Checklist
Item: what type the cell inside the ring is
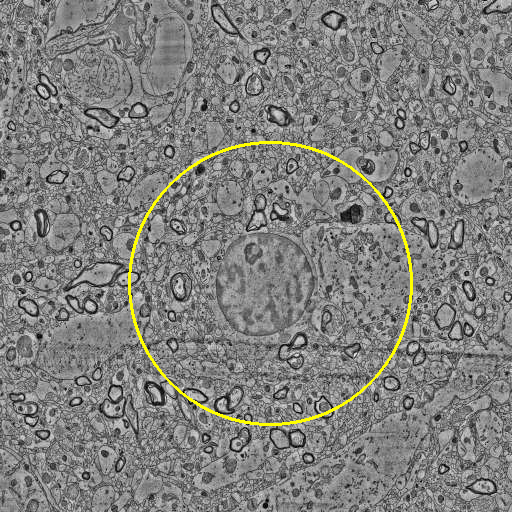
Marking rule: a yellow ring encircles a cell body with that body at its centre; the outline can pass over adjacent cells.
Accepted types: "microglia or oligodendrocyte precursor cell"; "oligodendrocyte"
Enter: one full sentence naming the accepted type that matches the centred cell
The entry is that an oligodendrocyte lies at the centre of the yellow ring.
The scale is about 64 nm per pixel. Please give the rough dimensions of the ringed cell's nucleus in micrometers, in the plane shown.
Approximately 7 micrometres across, in this plane.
